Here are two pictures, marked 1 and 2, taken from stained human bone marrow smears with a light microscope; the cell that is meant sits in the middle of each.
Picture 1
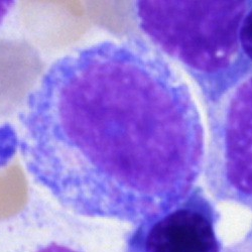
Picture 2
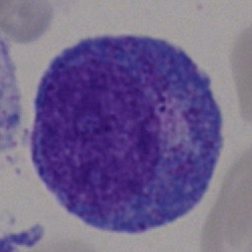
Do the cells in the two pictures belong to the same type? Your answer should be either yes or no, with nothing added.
yes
